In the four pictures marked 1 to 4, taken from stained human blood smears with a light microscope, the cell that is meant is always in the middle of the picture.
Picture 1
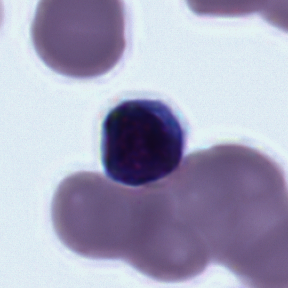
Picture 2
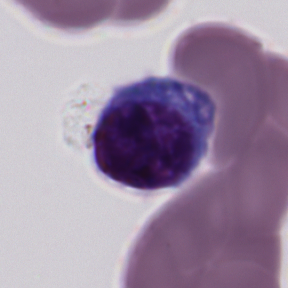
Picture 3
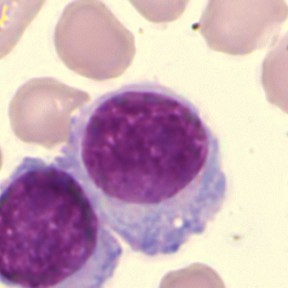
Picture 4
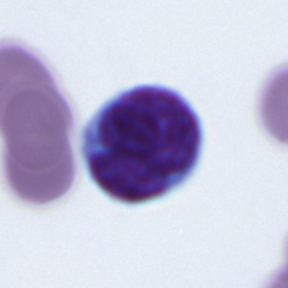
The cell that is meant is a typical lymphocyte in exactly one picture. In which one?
4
